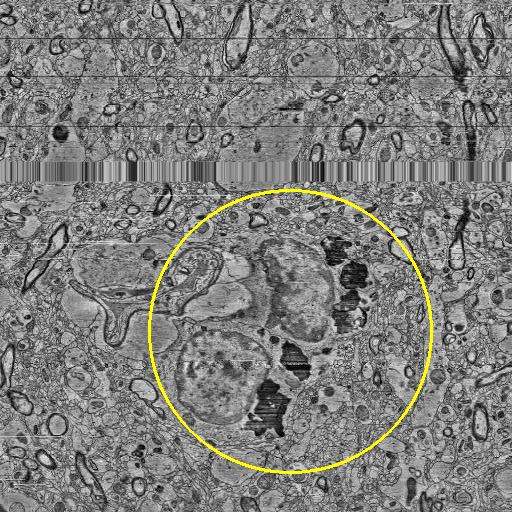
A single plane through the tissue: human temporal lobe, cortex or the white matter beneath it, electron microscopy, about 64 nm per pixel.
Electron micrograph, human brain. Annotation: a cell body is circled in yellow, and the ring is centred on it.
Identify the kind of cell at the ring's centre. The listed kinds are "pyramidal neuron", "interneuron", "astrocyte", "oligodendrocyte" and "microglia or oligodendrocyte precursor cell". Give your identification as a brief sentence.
The circled cell body is that of an oligodendrocyte.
